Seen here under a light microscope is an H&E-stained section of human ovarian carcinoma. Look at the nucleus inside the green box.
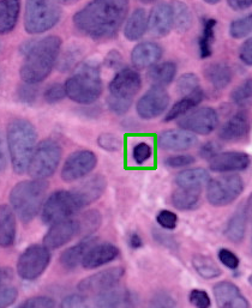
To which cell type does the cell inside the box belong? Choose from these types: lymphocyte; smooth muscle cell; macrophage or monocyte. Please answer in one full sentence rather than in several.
At the level of cell identity, the cell inside the box is a lymphocyte.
